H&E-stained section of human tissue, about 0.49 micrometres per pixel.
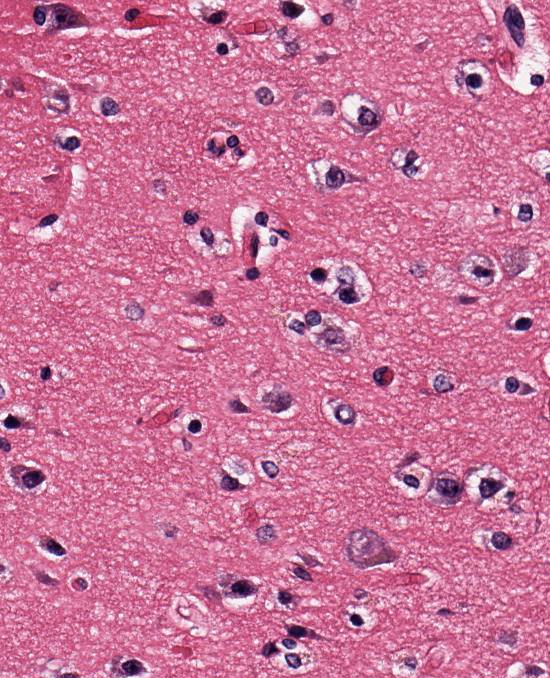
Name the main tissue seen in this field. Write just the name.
cerebral cortex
